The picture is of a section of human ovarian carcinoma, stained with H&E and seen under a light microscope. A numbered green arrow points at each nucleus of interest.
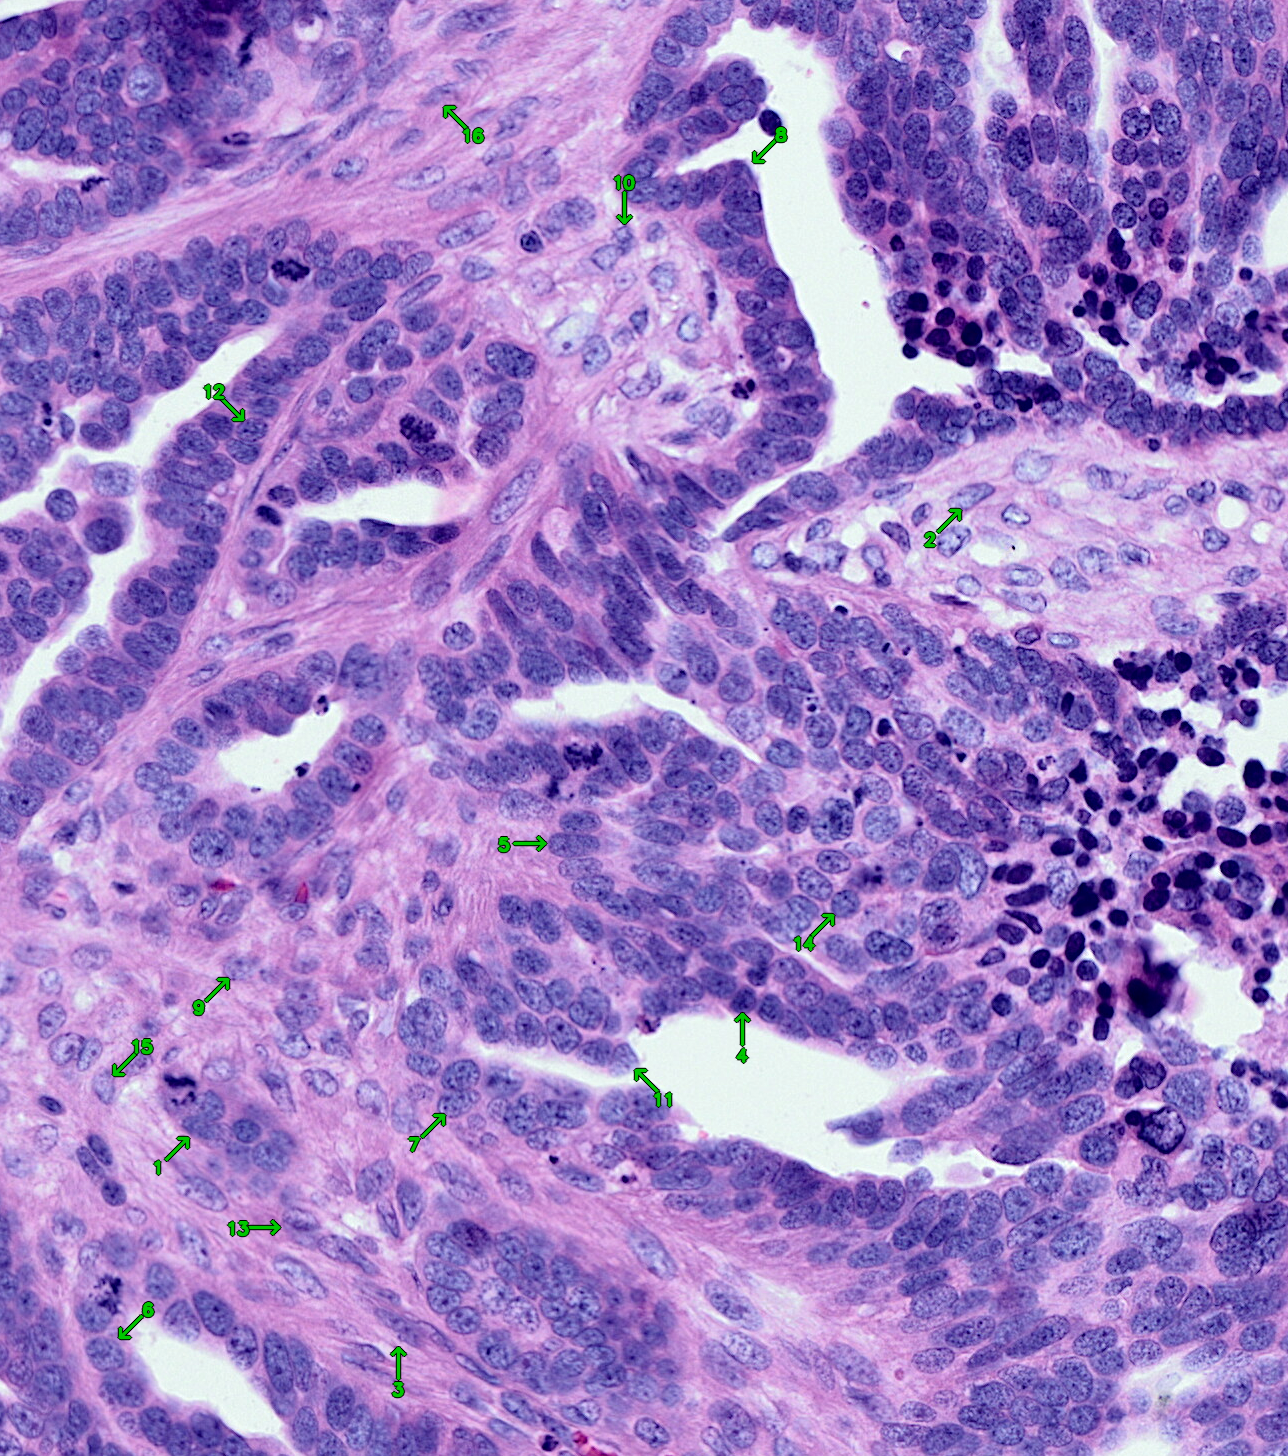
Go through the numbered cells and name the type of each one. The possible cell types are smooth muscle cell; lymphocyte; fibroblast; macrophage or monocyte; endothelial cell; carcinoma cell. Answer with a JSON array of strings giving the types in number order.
["carcinoma cell", "fibroblast", "fibroblast", "carcinoma cell", "carcinoma cell", "carcinoma cell", "carcinoma cell", "carcinoma cell", "fibroblast", "fibroblast", "carcinoma cell", "carcinoma cell", "fibroblast", "carcinoma cell", "fibroblast", "fibroblast"]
